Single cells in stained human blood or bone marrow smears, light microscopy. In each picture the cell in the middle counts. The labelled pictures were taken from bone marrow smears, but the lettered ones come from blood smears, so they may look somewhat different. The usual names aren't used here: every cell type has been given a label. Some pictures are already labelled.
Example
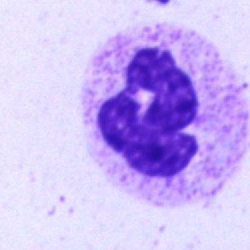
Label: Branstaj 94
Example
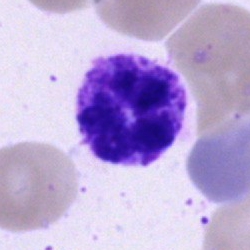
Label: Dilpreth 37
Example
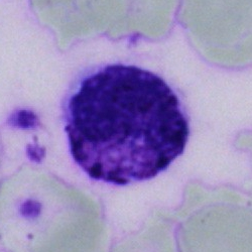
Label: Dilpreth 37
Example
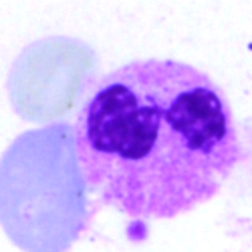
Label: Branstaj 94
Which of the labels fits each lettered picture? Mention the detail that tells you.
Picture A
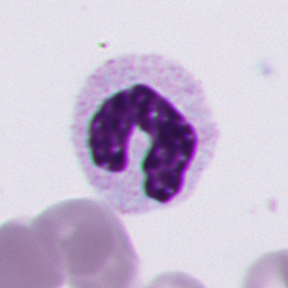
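Answer: Branstaj 94. A wide rim of pale pinkish-lilac cytoplasm surrounds the nucleus.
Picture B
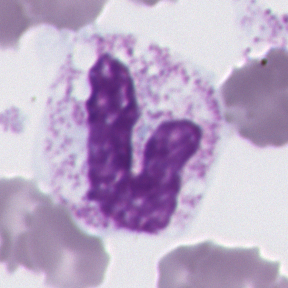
Answer: Branstaj 94. Fine pink-violet granules are scattered throughout the cytoplasm.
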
